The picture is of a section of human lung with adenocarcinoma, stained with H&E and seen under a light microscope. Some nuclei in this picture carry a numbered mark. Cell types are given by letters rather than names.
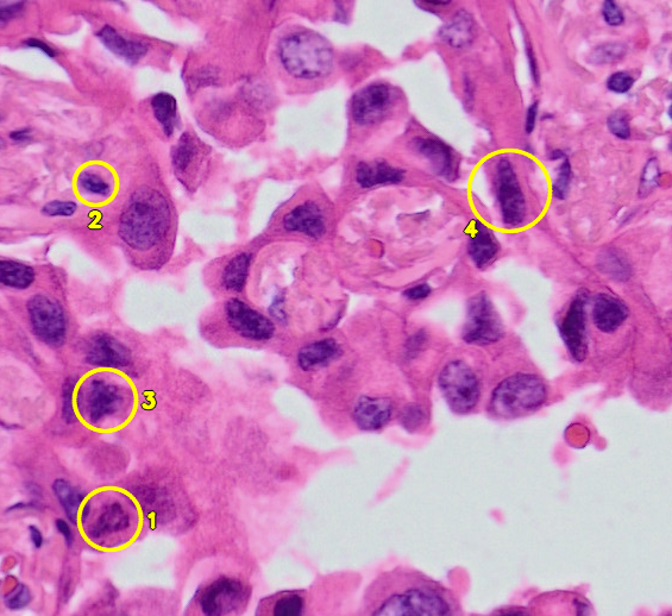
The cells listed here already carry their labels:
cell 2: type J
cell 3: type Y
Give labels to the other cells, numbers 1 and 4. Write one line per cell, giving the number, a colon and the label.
1: type Y
4: type Y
